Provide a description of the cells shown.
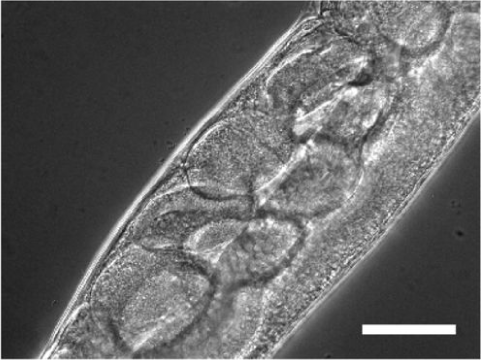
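A segment of a worm's body is seen in differential interference contrast, filled with several embryos. The embryos are oval, each bounded by a clear smooth shell, and lie packed side by side and partly overlapping within the body. The body wall runs as a smooth bright border along both sides of the worm.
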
